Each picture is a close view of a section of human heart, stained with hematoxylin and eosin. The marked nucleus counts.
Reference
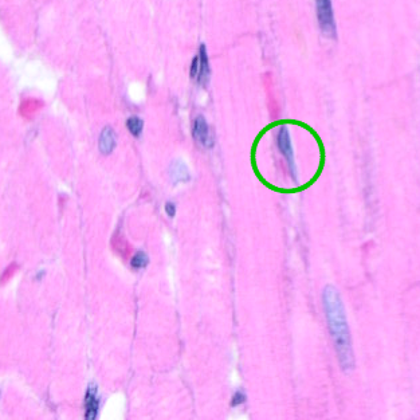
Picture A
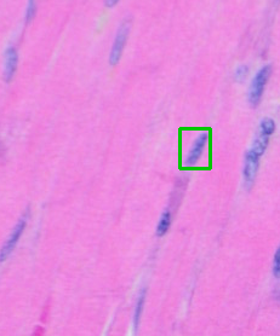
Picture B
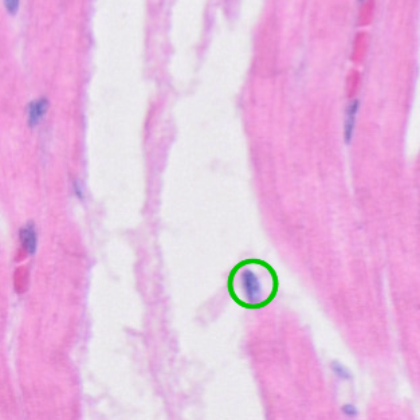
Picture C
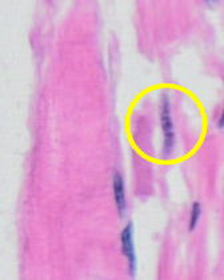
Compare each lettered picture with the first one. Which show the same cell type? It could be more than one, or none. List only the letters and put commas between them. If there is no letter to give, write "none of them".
none of them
